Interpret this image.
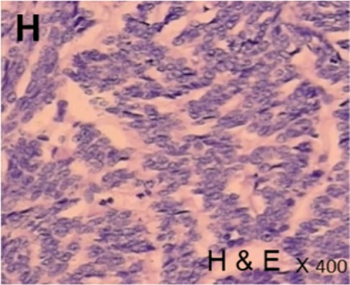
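Tumour tissue made of densely crowded epithelial-looking cells in H&E, pink and purple. The cells are arranged in interlacing cords and ribbons. Their oval to elongated nuclei stain dark purple, and each cell has only a little cytoplasm. Nuclei lie close together and overlap within the cords. Narrow bands of pale pink stroma separate the cords and run in irregular, branching strands between them. No clear gland spaces are seen. The overall pattern is cellular and uniform, with the purple cell cords dominating over the thin pink stromal strands.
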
